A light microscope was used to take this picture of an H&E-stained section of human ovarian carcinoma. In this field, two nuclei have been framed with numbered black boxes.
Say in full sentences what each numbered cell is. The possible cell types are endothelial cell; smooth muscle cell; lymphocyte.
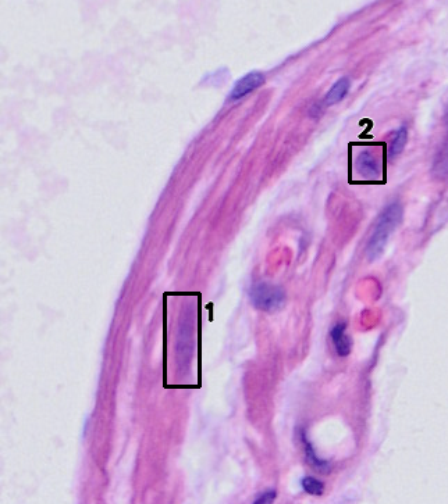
Cell 1 is a smooth muscle cell and cell 2 is an endothelial cell.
